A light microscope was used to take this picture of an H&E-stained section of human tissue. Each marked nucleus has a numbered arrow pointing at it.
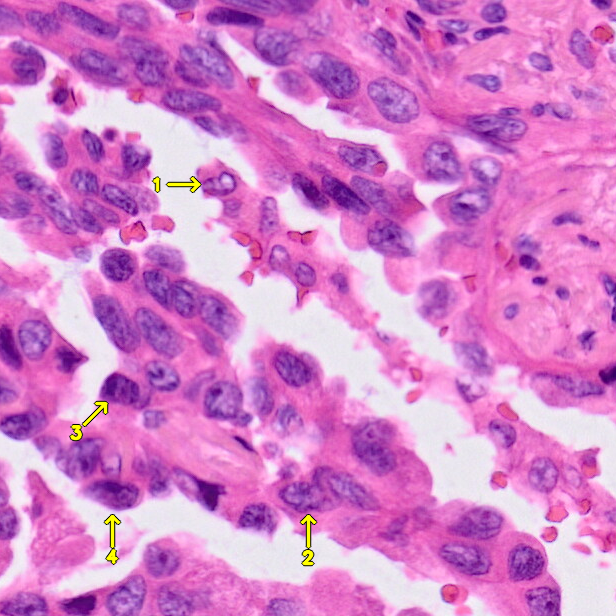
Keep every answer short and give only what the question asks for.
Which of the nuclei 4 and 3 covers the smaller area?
3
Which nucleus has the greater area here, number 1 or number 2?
2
